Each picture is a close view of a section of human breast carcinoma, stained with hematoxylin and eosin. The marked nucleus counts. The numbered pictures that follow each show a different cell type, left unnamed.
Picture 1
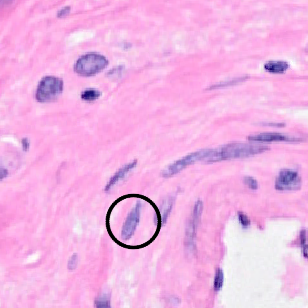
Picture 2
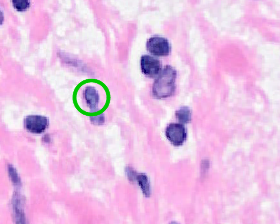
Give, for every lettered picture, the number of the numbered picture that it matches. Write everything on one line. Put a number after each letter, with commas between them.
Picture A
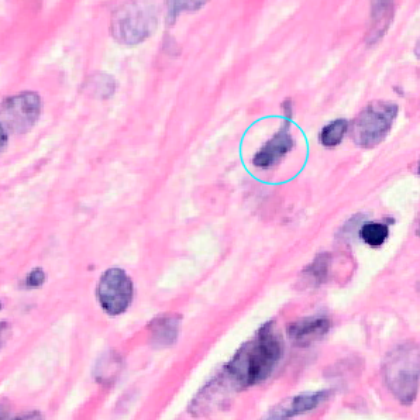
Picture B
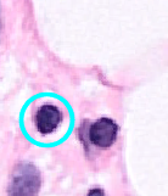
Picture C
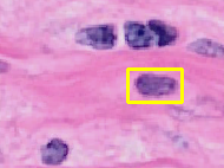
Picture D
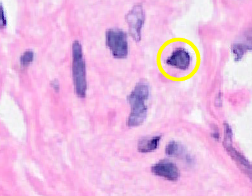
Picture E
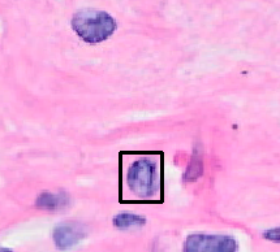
A 2, B 2, C 2, D 2, E 1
